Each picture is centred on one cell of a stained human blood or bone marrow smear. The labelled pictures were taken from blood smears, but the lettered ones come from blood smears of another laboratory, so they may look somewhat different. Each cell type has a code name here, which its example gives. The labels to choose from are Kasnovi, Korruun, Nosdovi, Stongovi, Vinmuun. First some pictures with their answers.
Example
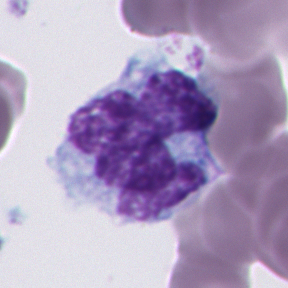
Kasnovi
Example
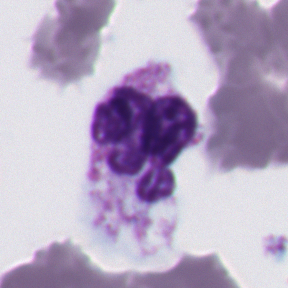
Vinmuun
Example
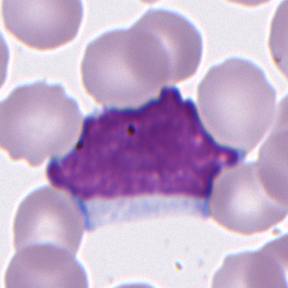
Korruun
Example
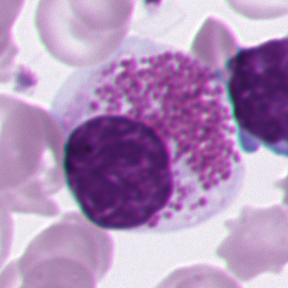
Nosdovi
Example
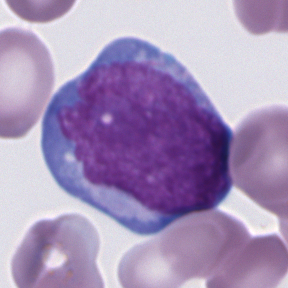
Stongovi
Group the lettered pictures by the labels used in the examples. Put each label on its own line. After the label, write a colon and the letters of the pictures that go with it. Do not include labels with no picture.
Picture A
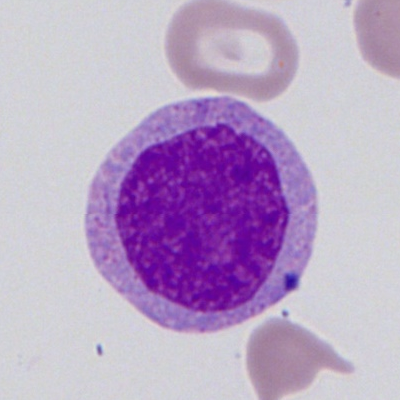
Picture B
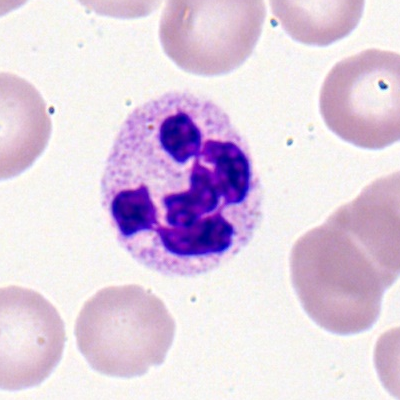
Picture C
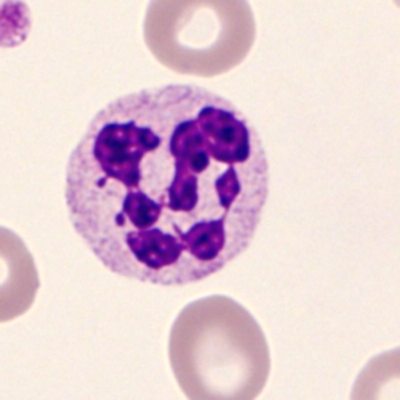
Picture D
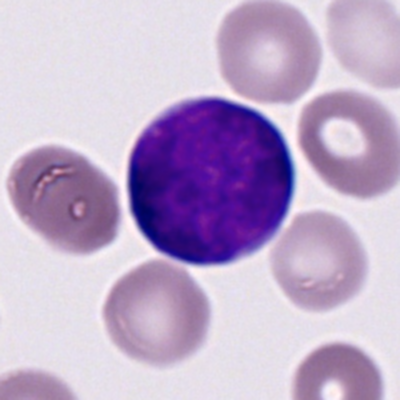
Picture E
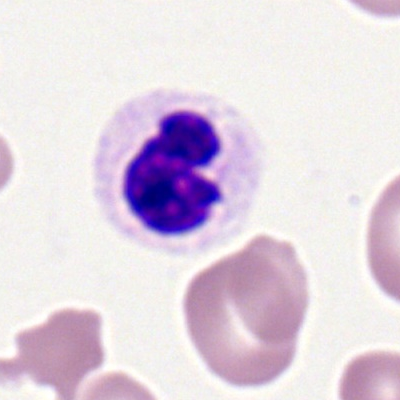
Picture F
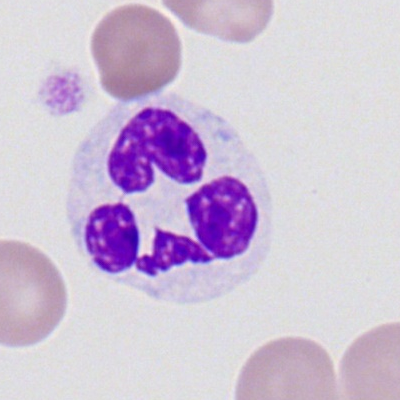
Stongovi: A, D
Vinmuun: B, C, E, F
